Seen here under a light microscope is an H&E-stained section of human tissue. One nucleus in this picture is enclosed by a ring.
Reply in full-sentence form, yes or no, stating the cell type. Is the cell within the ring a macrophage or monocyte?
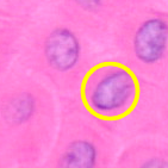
No, the cell within the ring is termed a keratinocyte, not a macrophage or monocyte.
